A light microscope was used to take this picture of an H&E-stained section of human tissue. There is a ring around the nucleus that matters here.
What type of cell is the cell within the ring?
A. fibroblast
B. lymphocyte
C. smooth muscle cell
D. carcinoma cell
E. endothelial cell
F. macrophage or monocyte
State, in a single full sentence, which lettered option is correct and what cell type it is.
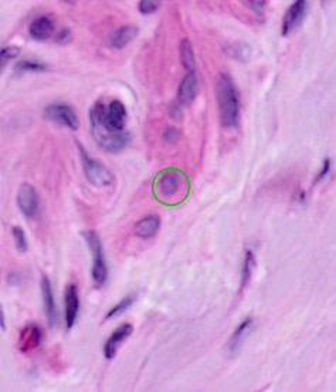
Exactly as option C gives it, the cell within the ring is a smooth muscle cell.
